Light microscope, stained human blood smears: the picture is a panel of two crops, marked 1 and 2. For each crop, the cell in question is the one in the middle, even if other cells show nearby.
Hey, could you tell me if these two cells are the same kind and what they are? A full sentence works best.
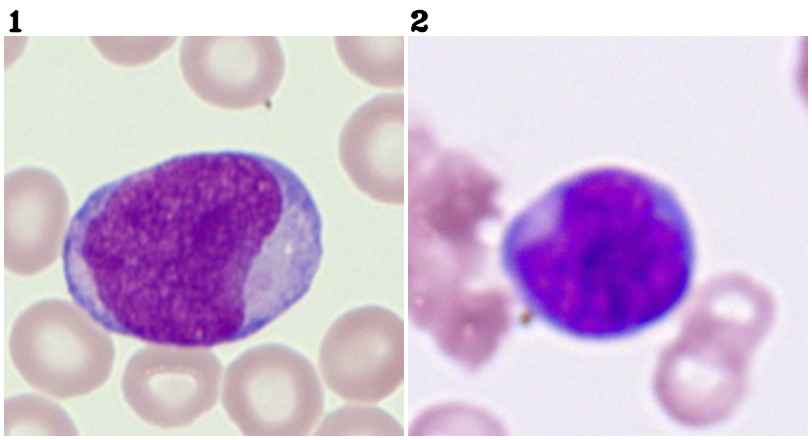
Yes, the cells centred in the two crops are both blasts.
